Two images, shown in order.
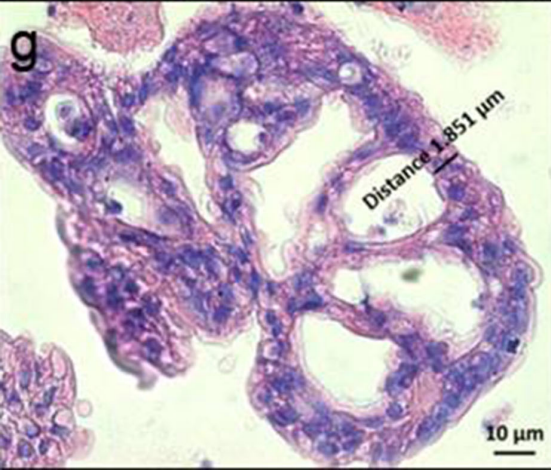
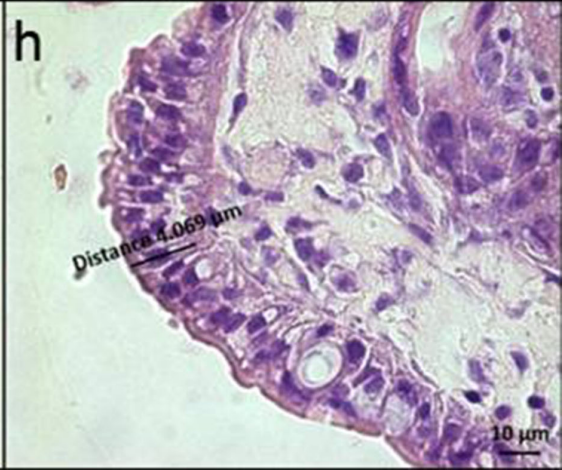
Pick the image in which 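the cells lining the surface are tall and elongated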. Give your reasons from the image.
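First image: the cells lining the cavities and outer surface are low, with nuclei close to the surface in a thin layer. Second image: the outer layer is a row of tall cells with long nuclei packed side by side. That points to this answer: the second image.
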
